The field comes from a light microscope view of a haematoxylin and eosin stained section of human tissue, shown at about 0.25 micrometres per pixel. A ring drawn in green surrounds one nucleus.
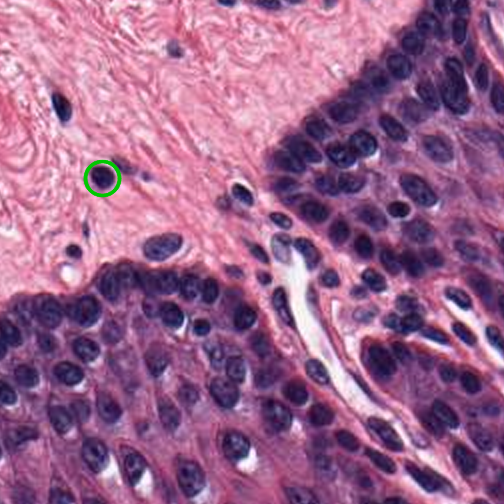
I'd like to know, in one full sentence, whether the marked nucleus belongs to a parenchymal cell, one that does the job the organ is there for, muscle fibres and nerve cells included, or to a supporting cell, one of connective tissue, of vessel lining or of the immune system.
Among the cells in view, a supporting cell holds the marked nucleus.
